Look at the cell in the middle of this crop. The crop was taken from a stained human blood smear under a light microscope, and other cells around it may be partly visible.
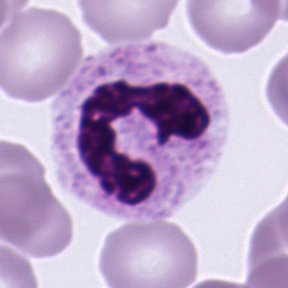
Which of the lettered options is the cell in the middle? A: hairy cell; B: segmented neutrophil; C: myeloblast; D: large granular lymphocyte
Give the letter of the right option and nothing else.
B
